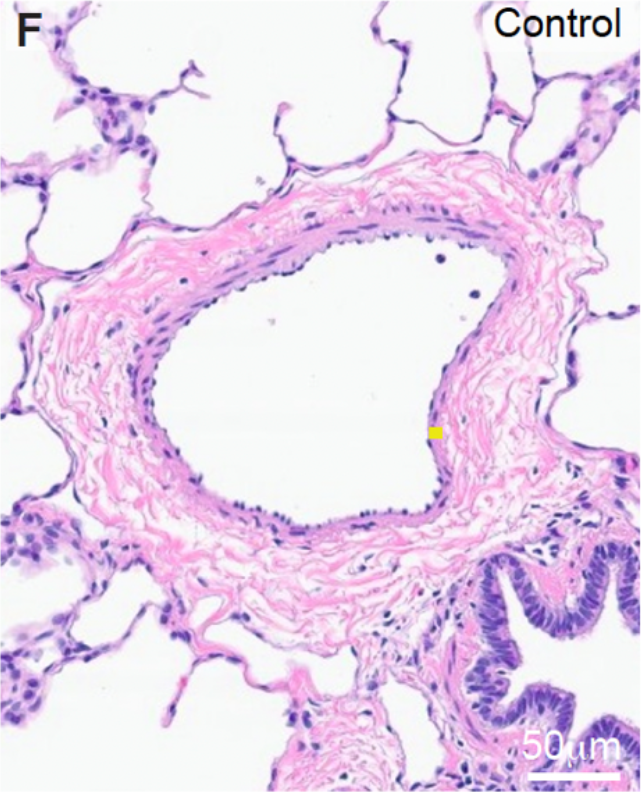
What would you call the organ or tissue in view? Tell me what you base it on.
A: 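Pulmonary arteries. Thin-walled air spaces surround the vessel. A folded airway epithelium lies beside it at lower right.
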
